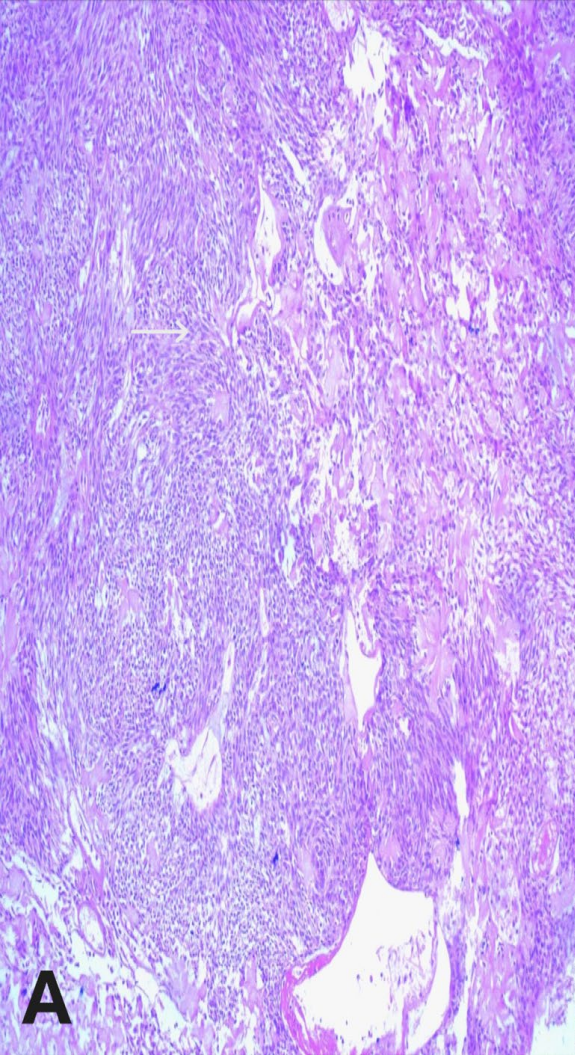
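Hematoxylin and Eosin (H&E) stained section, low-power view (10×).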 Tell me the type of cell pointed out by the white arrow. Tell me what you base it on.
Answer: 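Spindle to epithelioid cells. Densely cellular sheets of cells with elongated to plump ovoid nuclei. Cells form sweeping fascicles and nodules.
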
